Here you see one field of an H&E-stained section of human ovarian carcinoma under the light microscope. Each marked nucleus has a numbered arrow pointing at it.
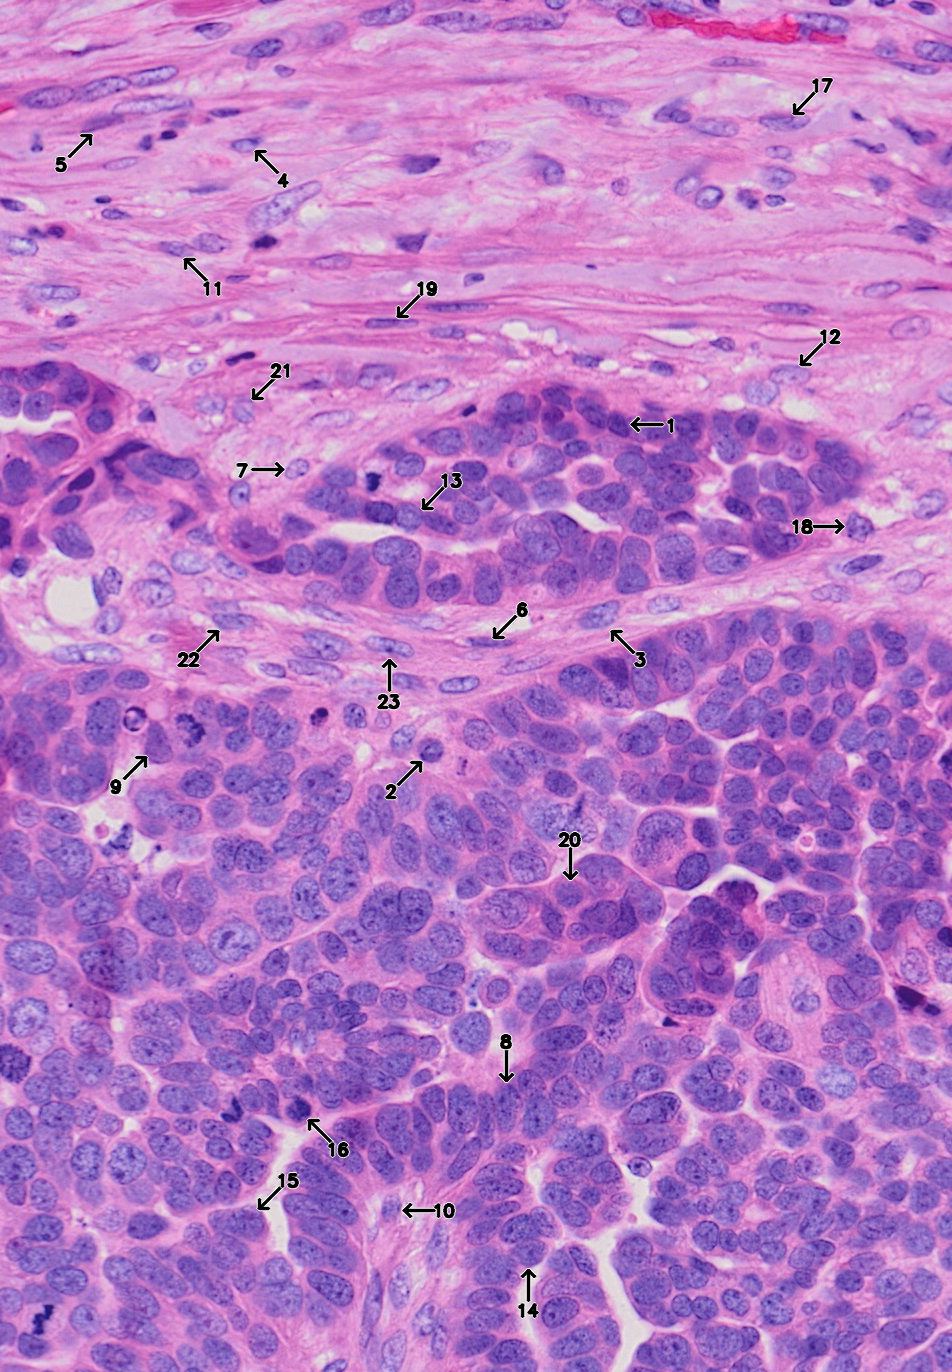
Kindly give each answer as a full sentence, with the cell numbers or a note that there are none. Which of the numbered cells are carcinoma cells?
Cells 1, 8, 9, 13, 14, 15, 16 and 20 are carcinoma cells by cell type.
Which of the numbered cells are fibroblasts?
As for the cells numbered 3, 4, 5, 6, 10, 11, 12, 17, 19, 21, 22 and 23, they are fibroblasts.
